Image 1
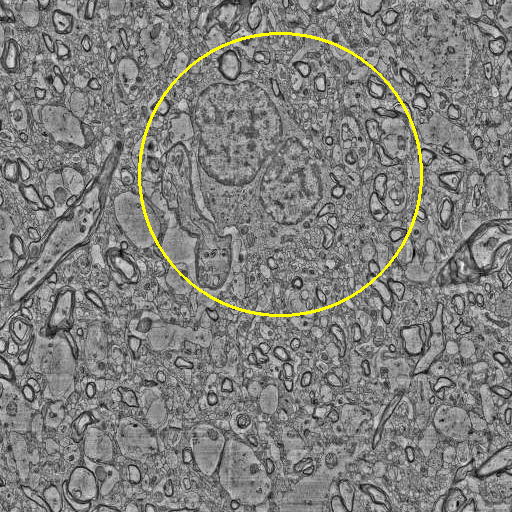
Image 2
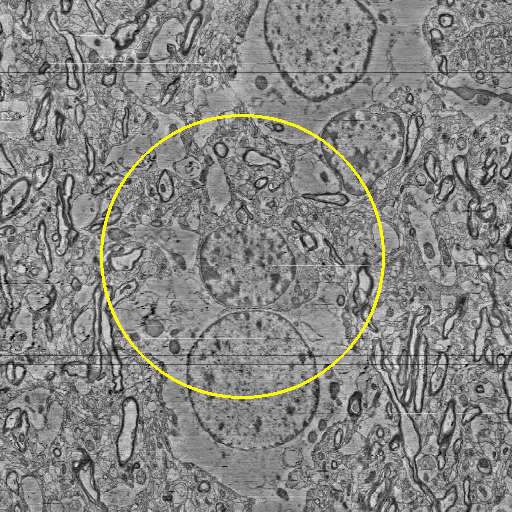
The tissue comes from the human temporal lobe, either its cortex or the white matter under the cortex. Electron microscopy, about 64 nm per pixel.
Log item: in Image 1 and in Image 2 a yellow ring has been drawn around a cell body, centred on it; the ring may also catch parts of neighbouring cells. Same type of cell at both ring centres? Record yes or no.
yes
